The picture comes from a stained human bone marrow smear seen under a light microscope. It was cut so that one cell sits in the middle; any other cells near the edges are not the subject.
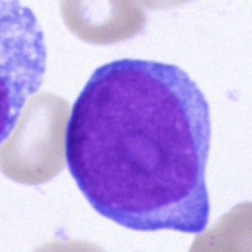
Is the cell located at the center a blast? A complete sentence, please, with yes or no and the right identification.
Yes, the cell in the center of the field is a blast.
